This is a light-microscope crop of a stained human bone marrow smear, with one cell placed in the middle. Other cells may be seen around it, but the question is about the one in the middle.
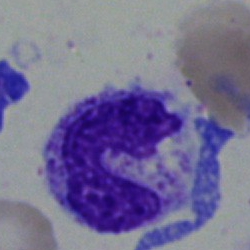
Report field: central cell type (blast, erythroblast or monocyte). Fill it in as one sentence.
The center cell of this crop is a monocyte.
